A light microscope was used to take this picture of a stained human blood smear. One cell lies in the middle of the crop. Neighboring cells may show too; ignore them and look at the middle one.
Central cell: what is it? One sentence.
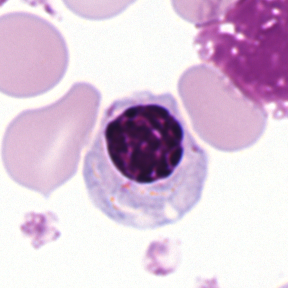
The cell that lies at the centre of the crop is a normoblast.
